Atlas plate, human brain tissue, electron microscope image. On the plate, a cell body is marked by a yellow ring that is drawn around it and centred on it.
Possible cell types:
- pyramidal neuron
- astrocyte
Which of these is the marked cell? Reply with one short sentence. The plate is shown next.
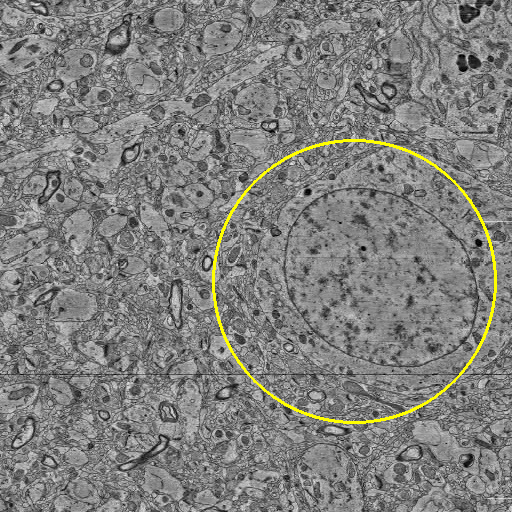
The marked cell is a pyramidal neuron.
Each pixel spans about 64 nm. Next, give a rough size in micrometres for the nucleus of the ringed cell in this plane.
The nucleus comes to roughly 13 by 11 micrometres in this plane.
